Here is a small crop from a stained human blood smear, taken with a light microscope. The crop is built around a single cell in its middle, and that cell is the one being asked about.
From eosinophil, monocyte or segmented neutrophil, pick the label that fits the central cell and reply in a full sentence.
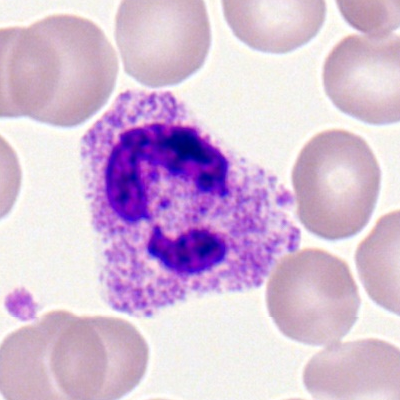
As for the cell in the middle, it is a segmented neutrophil.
